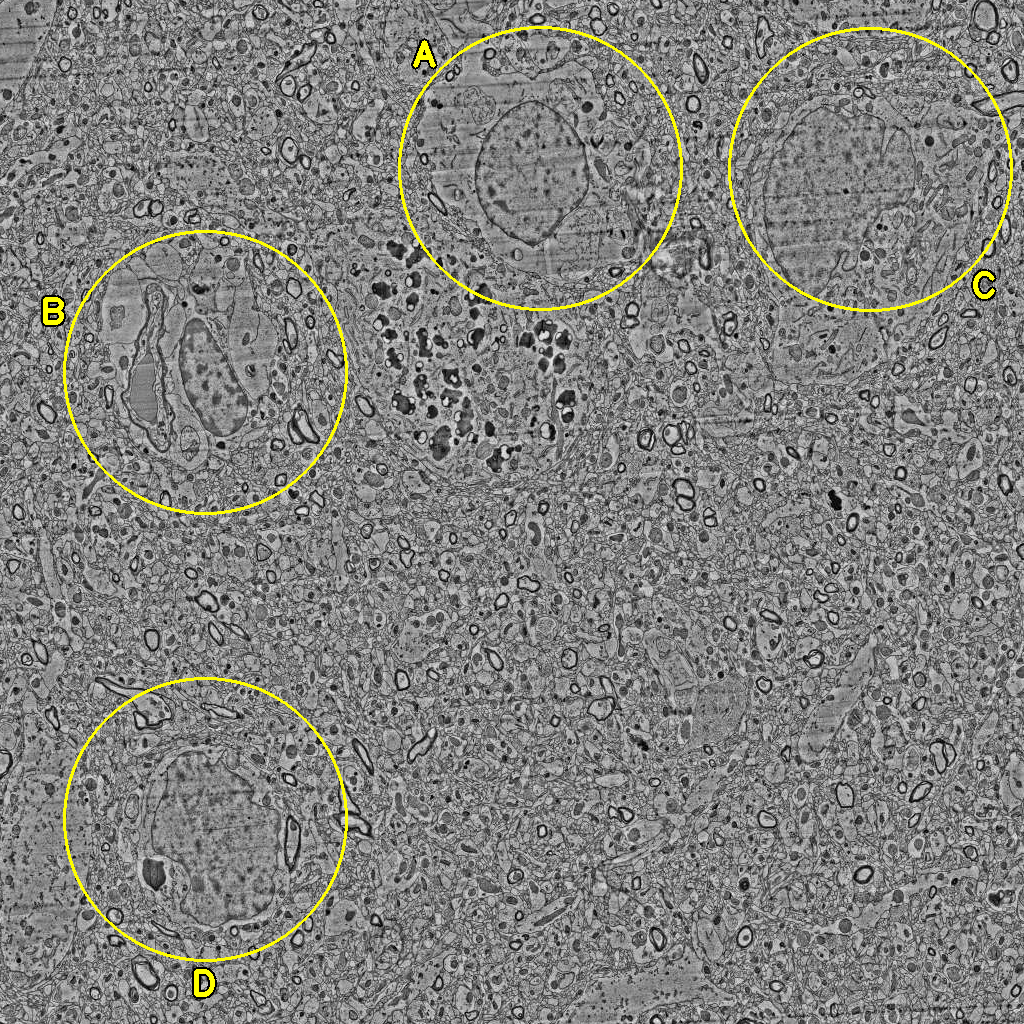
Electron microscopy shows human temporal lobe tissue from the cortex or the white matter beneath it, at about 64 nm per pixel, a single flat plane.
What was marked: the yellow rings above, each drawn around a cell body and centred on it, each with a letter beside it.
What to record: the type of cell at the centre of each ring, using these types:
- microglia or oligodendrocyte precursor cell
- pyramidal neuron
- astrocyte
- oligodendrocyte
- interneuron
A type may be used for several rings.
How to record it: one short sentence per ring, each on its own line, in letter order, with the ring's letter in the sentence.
Centred in ring A is an astrocyte.
Centred in ring B is a microglial cell or oligodendrocyte precursor cell.
Centred in ring C is an interneuron.
Centred in ring D is an interneuron.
